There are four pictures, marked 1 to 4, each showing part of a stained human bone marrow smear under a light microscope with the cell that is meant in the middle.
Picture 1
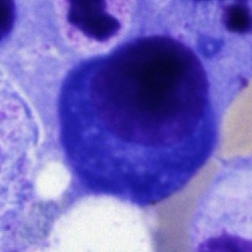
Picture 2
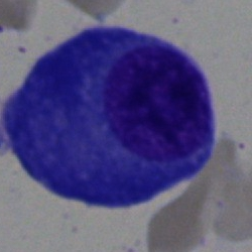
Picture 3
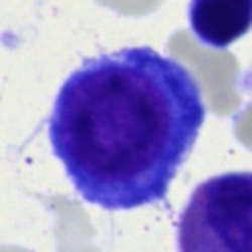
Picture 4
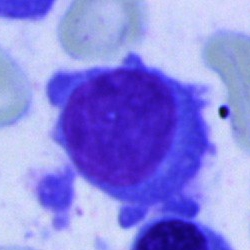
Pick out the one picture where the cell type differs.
3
